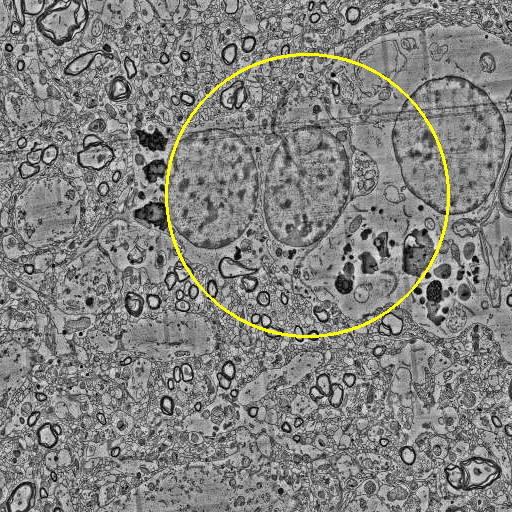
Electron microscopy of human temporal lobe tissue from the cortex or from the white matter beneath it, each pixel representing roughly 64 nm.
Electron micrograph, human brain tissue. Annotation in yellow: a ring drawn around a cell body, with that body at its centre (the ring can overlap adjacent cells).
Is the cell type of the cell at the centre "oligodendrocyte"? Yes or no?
Yes, it is of that type.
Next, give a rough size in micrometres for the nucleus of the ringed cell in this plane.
The nucleus measures about 8 by 5 micrometres in this plane.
